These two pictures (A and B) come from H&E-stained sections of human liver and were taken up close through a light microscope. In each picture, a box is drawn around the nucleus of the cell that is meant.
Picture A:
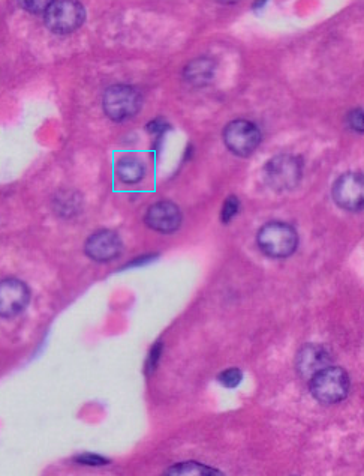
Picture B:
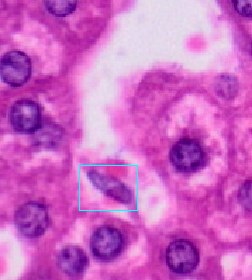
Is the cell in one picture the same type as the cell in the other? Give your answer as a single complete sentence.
No. Picture A shows a cholangiocyte, but picture B shows a Kupffer cell.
